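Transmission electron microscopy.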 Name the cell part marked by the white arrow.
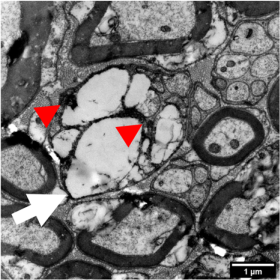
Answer: lipid droplets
